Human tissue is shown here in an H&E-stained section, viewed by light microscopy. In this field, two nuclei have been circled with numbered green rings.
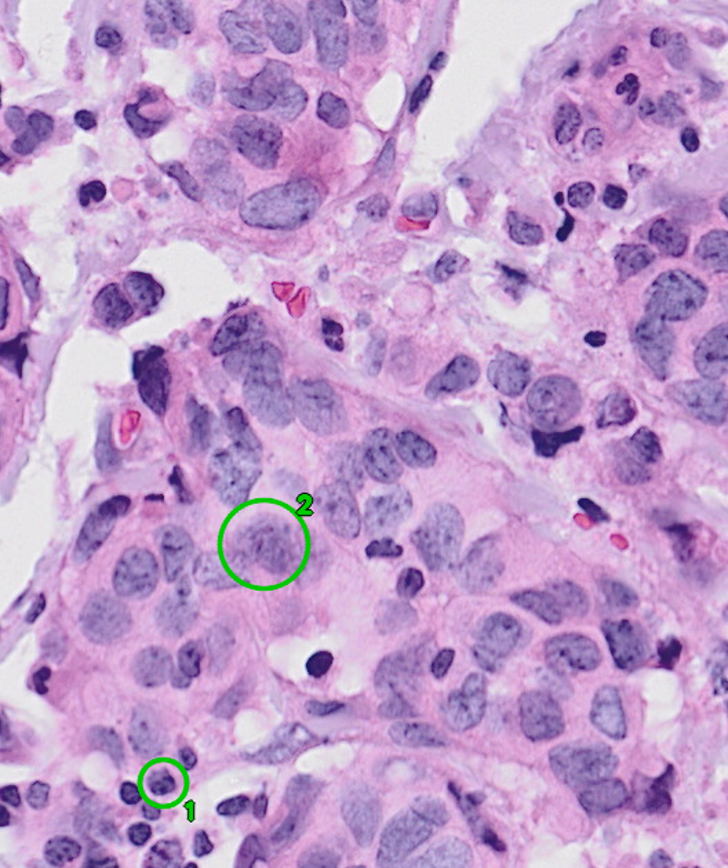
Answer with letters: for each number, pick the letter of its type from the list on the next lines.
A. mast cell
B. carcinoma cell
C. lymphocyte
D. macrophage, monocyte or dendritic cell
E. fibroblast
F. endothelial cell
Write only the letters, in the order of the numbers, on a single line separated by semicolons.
C; B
